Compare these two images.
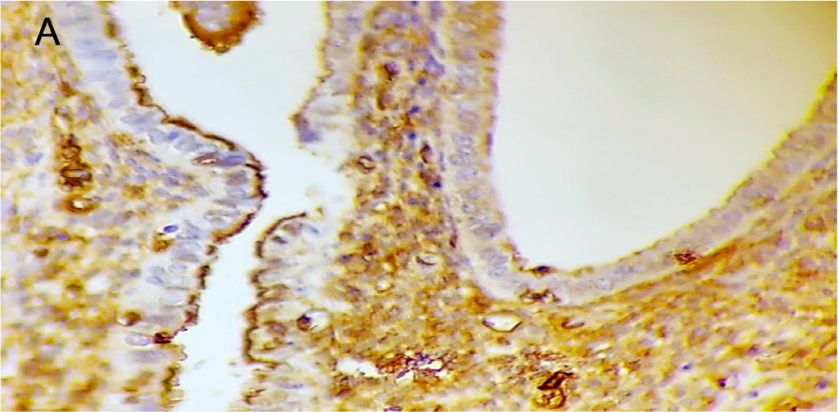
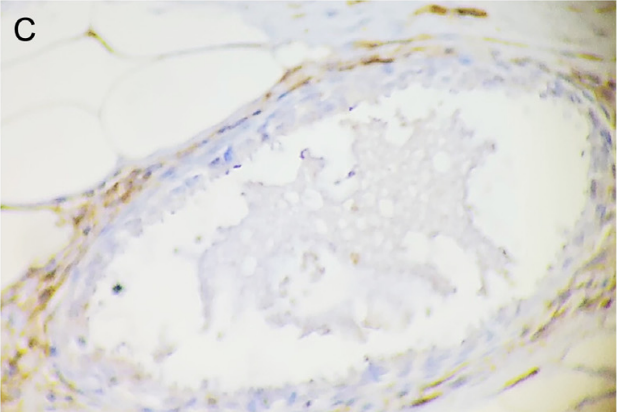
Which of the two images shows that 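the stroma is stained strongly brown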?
The first image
